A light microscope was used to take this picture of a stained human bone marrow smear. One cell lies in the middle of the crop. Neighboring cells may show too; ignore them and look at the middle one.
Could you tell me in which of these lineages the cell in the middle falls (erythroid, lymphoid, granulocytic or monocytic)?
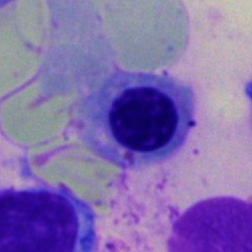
erythroid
